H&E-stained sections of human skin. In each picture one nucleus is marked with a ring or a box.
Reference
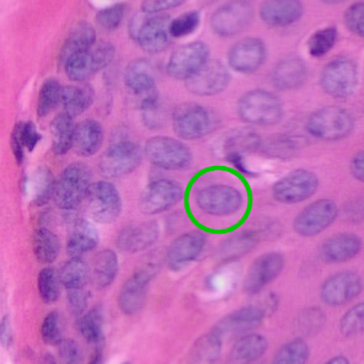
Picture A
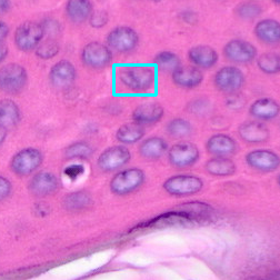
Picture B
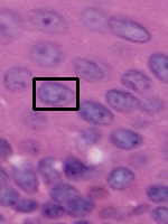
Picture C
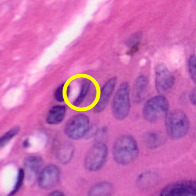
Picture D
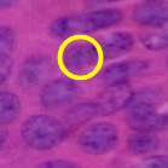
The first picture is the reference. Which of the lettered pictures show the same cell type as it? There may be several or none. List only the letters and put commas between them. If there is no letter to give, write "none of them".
A, B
